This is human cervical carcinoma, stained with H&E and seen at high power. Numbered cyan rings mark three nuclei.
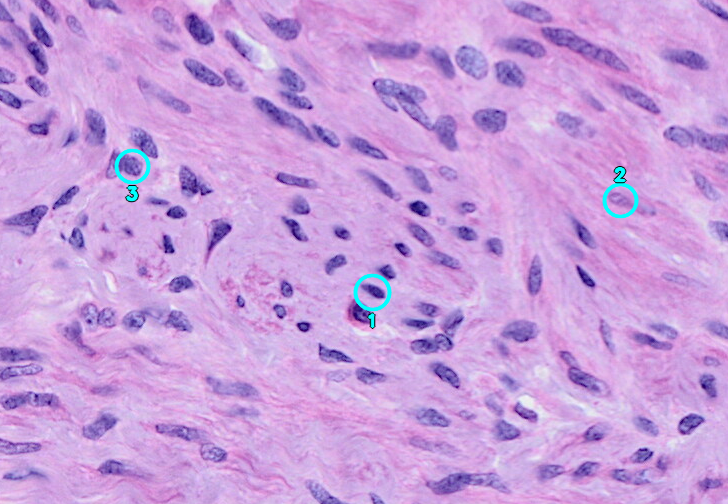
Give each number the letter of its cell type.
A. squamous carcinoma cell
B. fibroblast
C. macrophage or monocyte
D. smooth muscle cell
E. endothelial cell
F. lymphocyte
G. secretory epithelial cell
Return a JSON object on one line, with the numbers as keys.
{"1": "B", "2": "D", "3": "B"}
